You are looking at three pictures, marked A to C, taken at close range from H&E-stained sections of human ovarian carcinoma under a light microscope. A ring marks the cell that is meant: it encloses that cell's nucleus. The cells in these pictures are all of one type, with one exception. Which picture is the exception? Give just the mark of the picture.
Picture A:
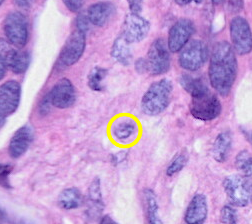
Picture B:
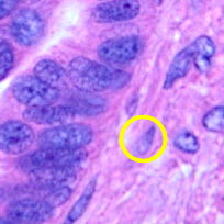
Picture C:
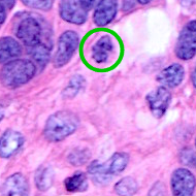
B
